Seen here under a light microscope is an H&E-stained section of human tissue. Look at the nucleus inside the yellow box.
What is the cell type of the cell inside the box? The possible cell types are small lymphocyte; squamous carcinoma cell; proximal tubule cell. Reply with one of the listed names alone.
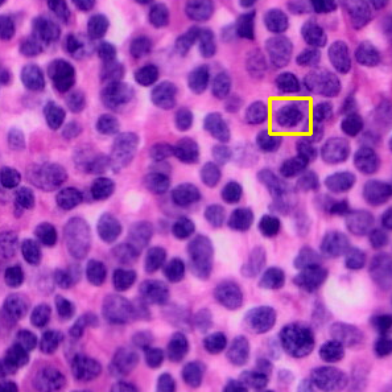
small lymphocyte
